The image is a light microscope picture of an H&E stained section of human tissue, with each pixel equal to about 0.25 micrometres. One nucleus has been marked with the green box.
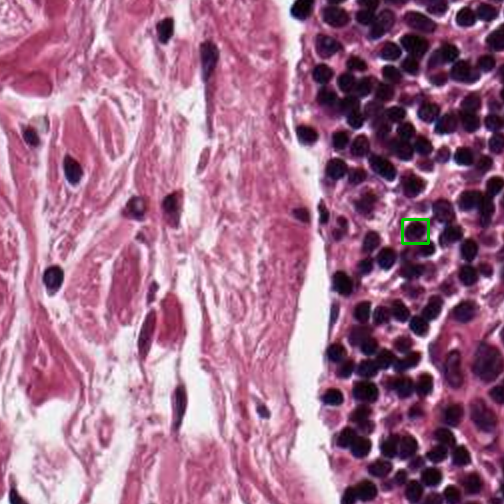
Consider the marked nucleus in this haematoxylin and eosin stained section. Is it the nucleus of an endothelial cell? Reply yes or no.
no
